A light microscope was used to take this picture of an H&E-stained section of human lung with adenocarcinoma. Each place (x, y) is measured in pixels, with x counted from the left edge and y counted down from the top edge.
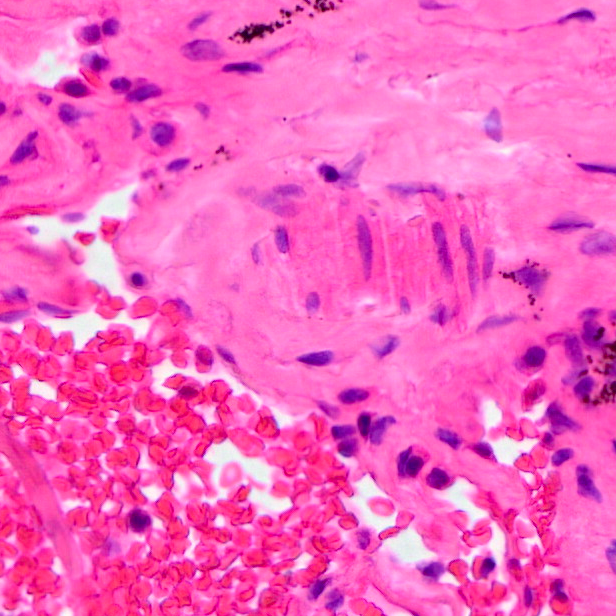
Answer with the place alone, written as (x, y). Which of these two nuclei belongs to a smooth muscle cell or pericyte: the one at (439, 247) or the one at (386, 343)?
(439, 247)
